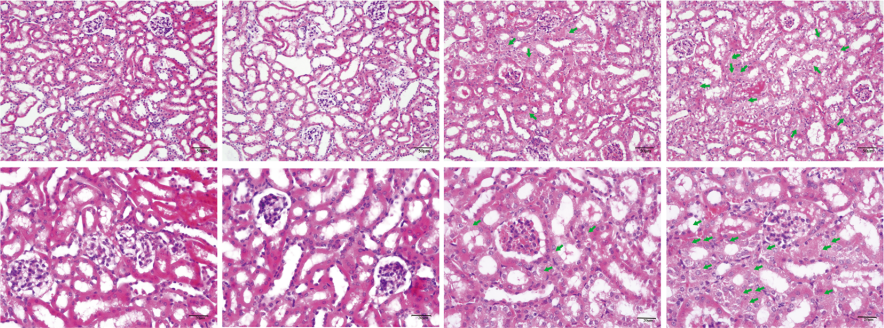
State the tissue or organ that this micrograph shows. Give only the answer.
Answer: Kidney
